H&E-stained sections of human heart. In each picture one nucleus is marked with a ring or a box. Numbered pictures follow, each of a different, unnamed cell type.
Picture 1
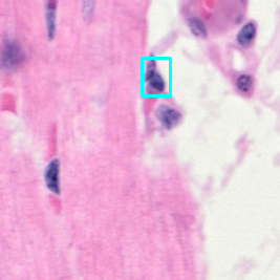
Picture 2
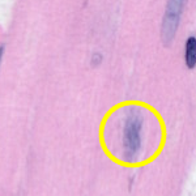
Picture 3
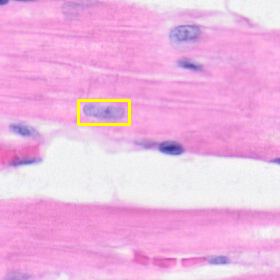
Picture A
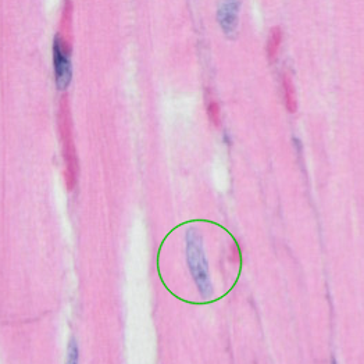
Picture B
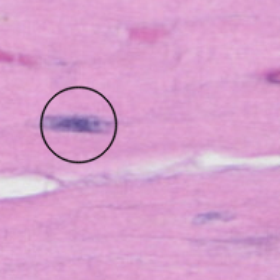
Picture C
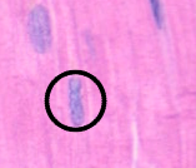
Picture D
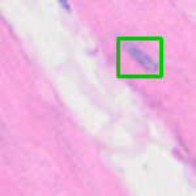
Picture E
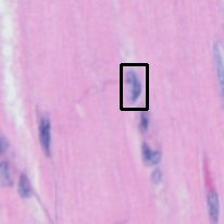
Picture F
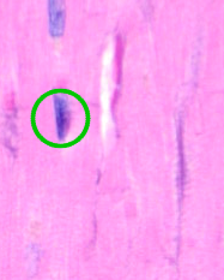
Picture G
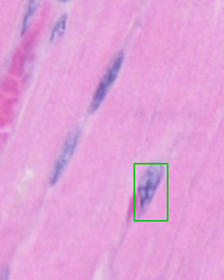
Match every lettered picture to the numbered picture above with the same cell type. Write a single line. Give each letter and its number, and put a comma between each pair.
A 3, B 2, C 3, D 3, E 1, F 2, G 2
